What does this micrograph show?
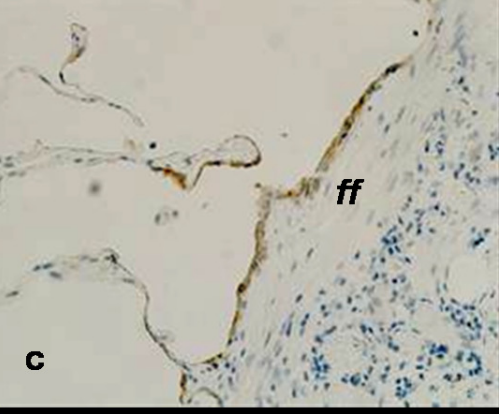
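Lung tissue at the edge between open alveolar parenchyma and a fibroblast focus. On the left, thin alveolar walls are lined by flattened cells stained brown. On the right lies a pale, loose stroma with scattered small blue nuclei of spindle-shaped cells. A thin continuous brown layer of epithelial cells covers the surface of this pale stroma where it faces the airspace.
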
